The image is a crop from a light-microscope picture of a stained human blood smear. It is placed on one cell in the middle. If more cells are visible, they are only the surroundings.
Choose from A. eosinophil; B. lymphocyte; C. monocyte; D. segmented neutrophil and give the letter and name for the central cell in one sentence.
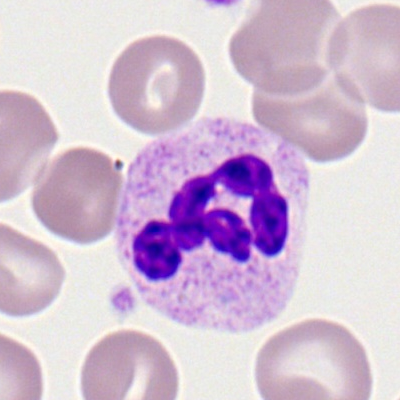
Option D is correct, naming the cell in the middle as a segmented neutrophil.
